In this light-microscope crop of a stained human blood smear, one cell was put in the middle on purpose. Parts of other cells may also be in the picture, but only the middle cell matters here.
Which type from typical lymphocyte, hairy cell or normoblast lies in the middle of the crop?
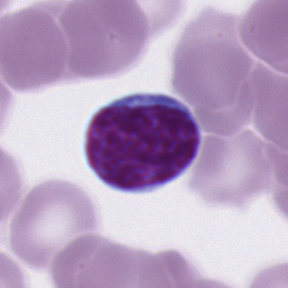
typical lymphocyte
